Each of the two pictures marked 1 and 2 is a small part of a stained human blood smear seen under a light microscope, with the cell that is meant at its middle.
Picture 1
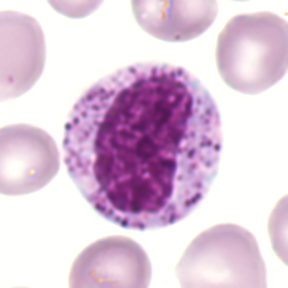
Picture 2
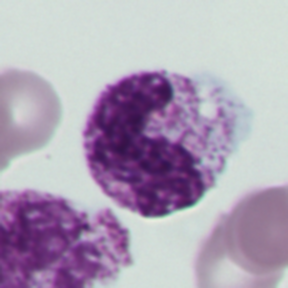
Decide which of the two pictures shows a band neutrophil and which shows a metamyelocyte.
1: metamyelocyte
2: band neutrophil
